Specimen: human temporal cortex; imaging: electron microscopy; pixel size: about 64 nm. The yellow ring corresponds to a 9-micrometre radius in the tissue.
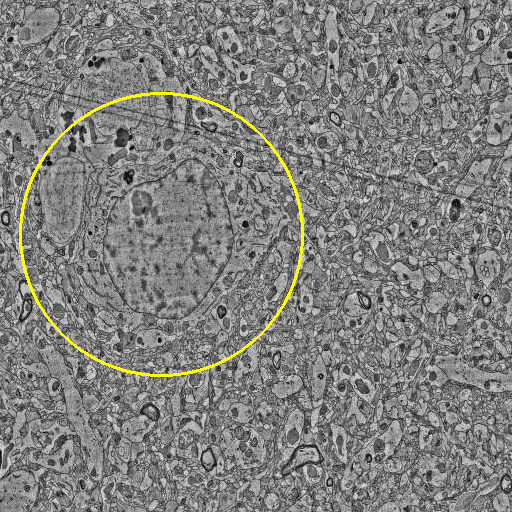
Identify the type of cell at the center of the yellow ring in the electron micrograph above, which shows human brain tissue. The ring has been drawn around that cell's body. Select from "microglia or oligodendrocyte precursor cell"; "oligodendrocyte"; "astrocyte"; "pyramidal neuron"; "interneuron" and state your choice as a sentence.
The yellow ring is centered on the body of a pyramidal neuron.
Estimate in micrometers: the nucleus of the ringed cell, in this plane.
The ringed cell's nucleus measures approximately 10 by 8 micrometres in this plane.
